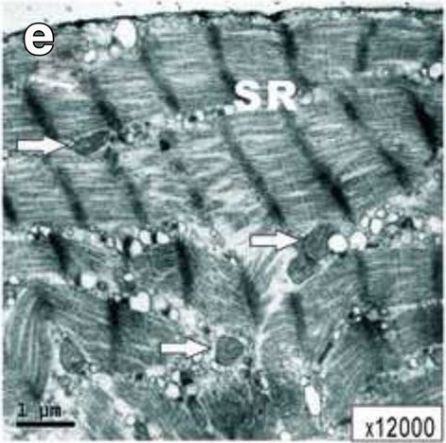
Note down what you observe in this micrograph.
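Damaged skeletal muscle fiber in which the myofibrils are wavy, broken and run at different angles, so the sarcomere banding is irregular. Rows of clear vacuoles and swollen profiles lie between the myofibrils, and rounded mitochondria appear among them.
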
